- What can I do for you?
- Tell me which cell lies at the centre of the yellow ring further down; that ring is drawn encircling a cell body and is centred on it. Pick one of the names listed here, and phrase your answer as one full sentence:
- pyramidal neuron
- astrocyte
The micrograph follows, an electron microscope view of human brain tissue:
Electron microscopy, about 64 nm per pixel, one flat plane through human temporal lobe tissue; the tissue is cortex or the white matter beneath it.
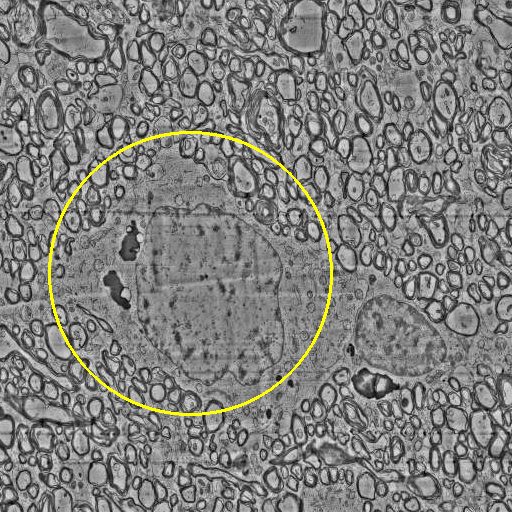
The cell whose body lies at the centre of the yellow ring is a pyramidal neuron.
